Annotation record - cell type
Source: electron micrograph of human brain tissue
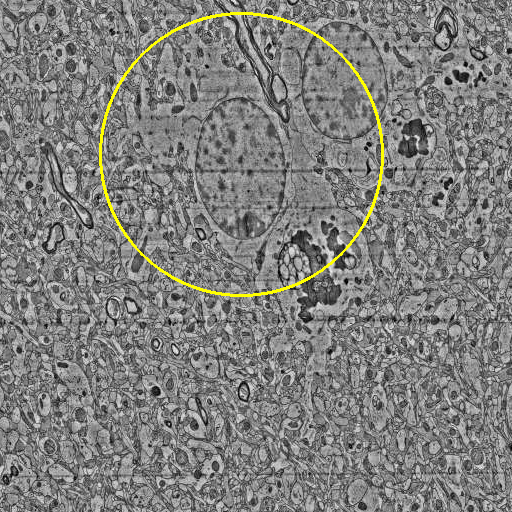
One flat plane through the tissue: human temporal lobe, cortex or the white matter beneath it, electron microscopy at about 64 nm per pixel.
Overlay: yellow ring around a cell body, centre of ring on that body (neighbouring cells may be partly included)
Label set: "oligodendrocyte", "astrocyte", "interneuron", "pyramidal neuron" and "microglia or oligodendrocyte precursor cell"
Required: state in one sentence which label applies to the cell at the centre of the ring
This cell should be labelled as an astrocyte.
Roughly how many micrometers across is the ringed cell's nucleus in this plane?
Approximately 8 by 6 micrometers in this plane.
